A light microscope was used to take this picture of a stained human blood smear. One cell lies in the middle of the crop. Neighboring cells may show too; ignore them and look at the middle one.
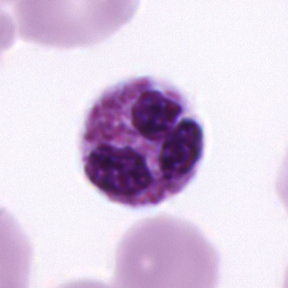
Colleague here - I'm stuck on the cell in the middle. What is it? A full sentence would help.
For this crop, the central cell is an eosinophil.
